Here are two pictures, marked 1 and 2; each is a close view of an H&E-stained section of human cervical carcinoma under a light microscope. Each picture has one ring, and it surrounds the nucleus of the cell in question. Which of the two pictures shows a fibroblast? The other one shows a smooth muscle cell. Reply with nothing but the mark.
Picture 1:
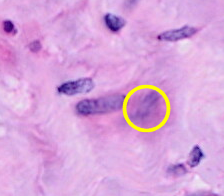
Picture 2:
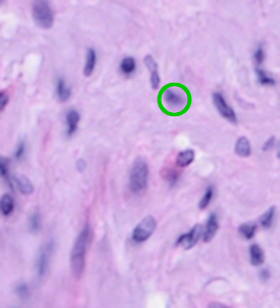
2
